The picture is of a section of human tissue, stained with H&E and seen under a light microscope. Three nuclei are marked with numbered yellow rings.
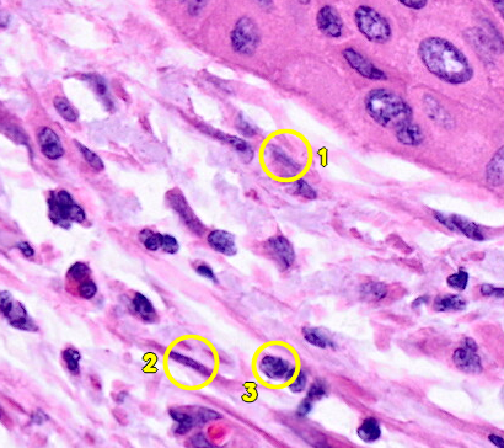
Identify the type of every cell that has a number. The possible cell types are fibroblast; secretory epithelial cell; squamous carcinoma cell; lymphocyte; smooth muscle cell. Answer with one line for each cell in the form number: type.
1: fibroblast
2: fibroblast
3: lymphocyte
